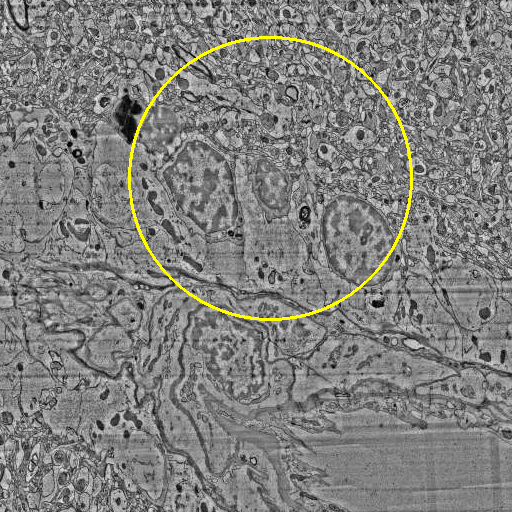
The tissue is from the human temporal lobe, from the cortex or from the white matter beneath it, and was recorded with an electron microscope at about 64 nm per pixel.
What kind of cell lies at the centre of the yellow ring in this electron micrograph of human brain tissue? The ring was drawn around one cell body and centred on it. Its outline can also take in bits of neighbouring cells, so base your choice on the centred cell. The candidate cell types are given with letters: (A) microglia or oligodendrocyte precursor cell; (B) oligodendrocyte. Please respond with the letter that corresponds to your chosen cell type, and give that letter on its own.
B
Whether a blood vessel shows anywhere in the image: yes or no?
Yes, a vessel appears in the picture.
